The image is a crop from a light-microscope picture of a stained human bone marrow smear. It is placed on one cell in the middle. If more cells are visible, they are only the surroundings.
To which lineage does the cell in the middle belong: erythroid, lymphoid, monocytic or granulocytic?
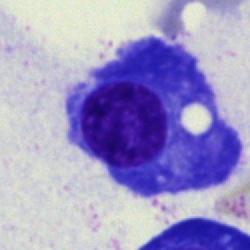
lymphoid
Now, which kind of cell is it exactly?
plasma cell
